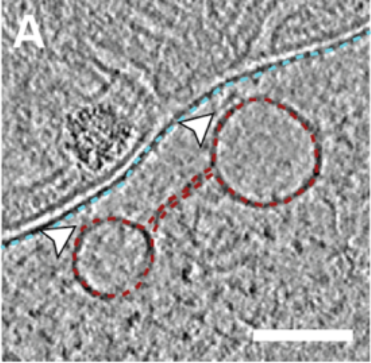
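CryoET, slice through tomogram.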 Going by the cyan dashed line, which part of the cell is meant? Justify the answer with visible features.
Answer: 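The cyan dashed line follows a long, gently curving membrane across the panel. Above it lies a further membrane running parallel to it. That points to this answer: mitochondrial outer membrane.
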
